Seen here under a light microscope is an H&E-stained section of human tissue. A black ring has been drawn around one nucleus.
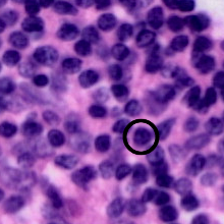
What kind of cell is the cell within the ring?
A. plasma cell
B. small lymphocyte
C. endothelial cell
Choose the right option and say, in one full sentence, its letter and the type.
The item is answered by option B: the cell within the ring is a small lymphocyte.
